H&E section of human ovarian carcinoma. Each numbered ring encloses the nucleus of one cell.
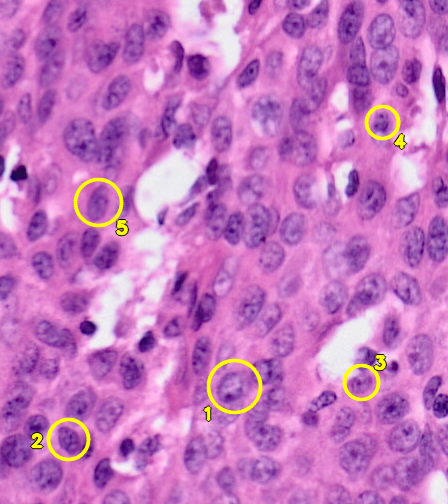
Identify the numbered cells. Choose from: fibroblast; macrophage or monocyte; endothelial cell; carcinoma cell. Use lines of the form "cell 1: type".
cell 1: carcinoma cell
cell 2: macrophage or monocyte
cell 3: carcinoma cell
cell 4: macrophage or monocyte
cell 5: carcinoma cell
